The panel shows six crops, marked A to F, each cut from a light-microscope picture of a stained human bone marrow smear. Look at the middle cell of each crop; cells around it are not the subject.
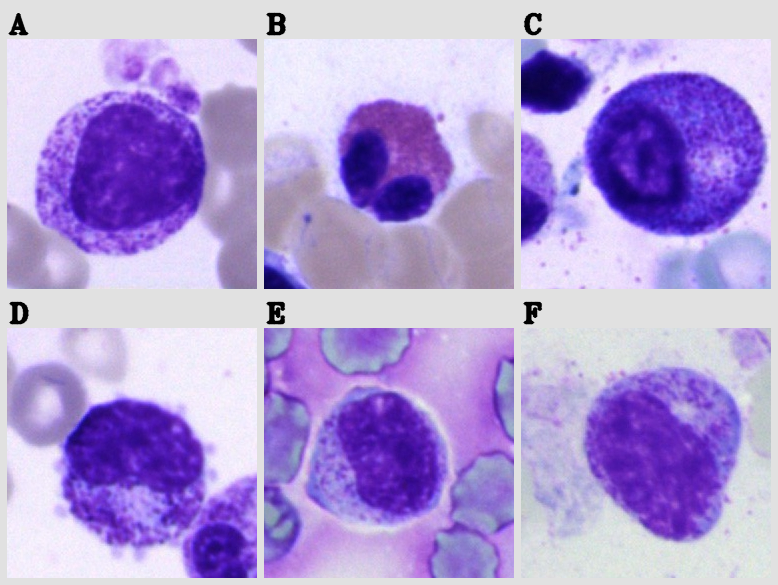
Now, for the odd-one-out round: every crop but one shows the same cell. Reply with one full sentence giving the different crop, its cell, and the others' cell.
The different one is crop B, which is an eosinophil; the rest all show myelocytes.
